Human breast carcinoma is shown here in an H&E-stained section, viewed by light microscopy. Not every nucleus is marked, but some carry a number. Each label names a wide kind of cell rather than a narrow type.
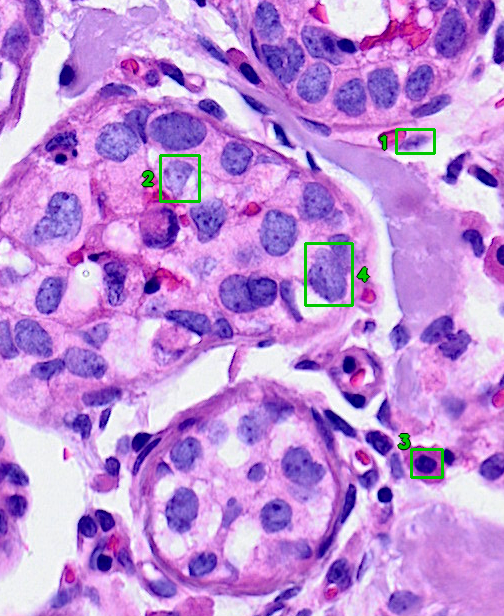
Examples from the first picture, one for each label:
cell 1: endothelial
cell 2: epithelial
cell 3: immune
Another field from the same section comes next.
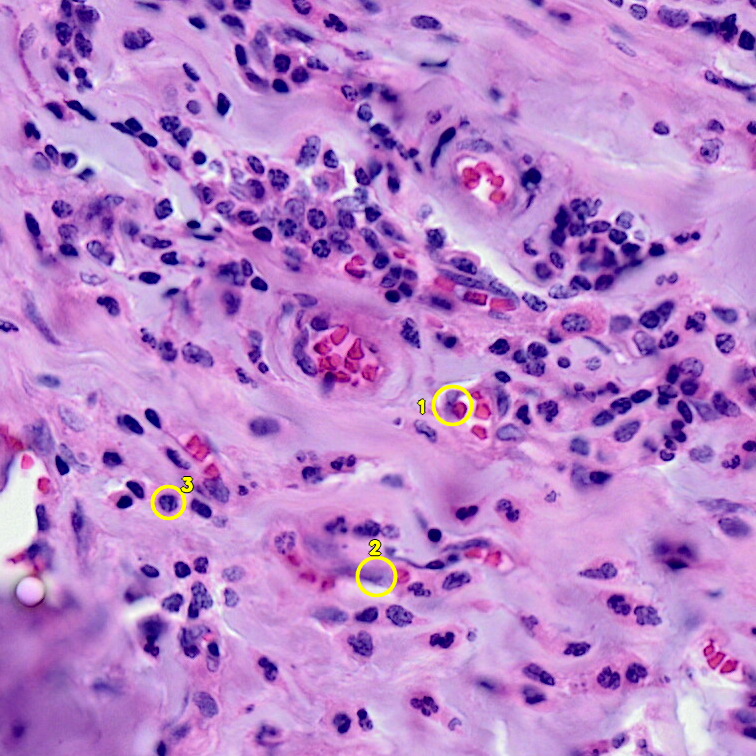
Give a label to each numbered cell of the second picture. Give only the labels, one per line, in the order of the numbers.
endothelial
endothelial
immune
